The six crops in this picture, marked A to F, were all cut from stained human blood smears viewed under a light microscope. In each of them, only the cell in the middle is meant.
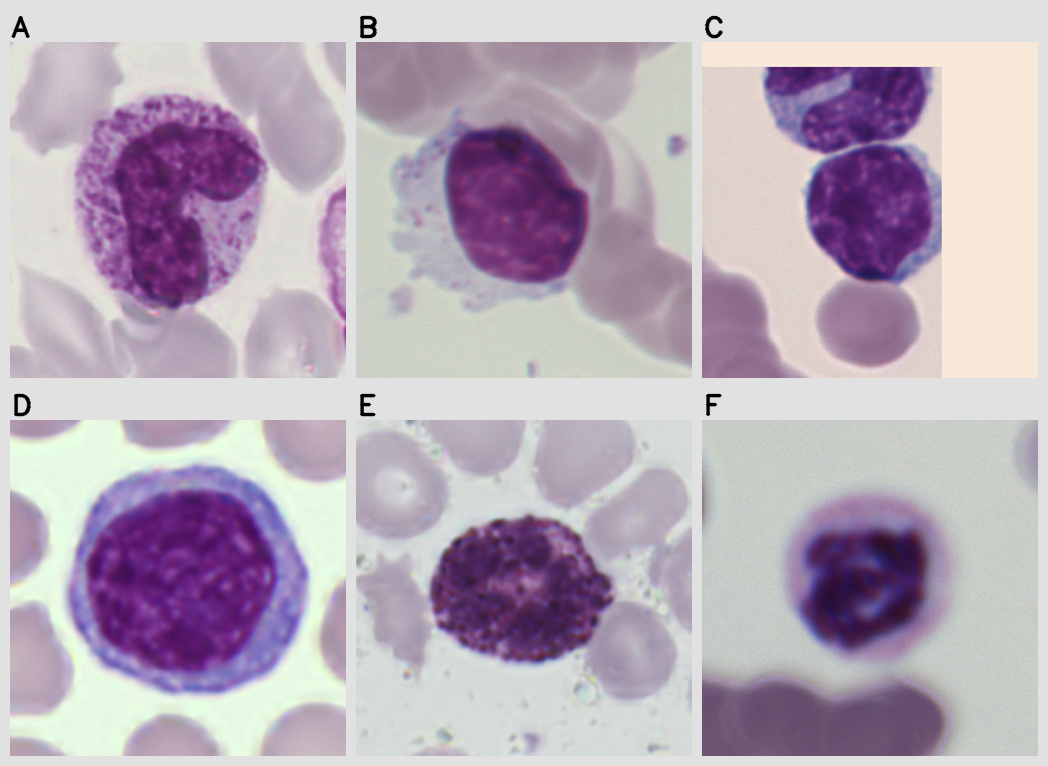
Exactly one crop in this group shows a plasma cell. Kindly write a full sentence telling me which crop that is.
The crop with a plasma cell in it is crop D.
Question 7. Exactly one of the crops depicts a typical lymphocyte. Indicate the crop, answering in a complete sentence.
It is in crop C that a typical lymphocyte is shown.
